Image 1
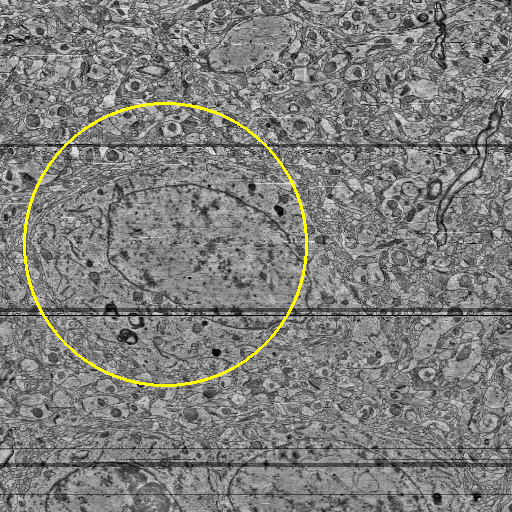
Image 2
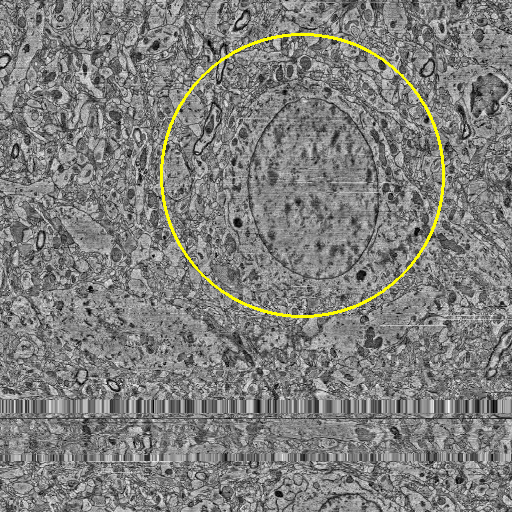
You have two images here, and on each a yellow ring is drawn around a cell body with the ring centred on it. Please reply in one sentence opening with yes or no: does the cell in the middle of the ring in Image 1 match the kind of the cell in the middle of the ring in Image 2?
Yes, the two images show cells of one kind at the centres of their rings.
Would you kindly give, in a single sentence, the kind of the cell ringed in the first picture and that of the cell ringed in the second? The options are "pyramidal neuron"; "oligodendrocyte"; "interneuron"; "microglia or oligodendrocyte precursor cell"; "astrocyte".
Each of the ringed cells, first and second, is a pyramidal neuron.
